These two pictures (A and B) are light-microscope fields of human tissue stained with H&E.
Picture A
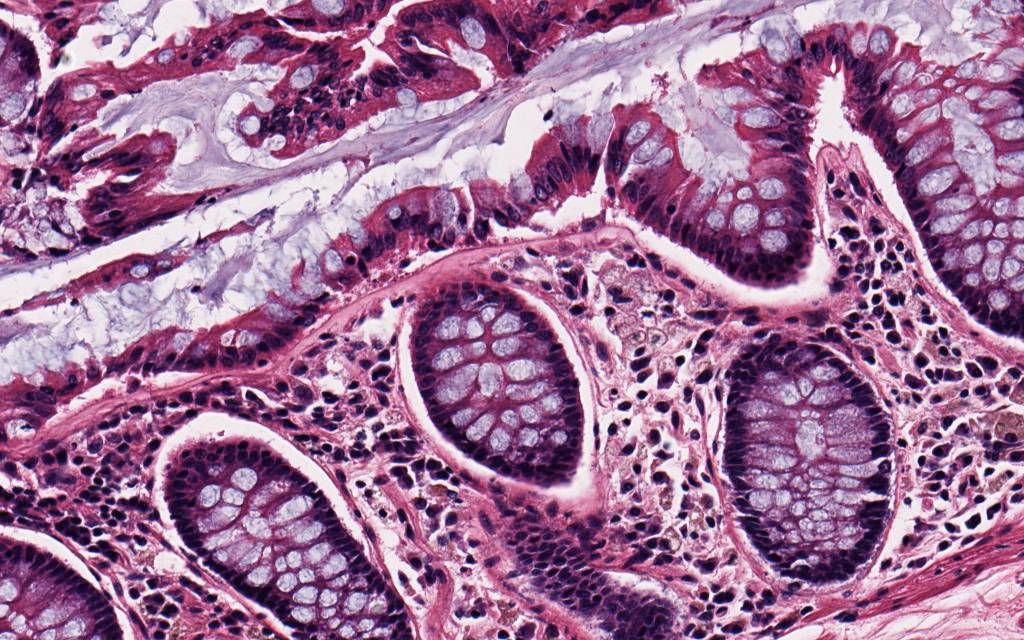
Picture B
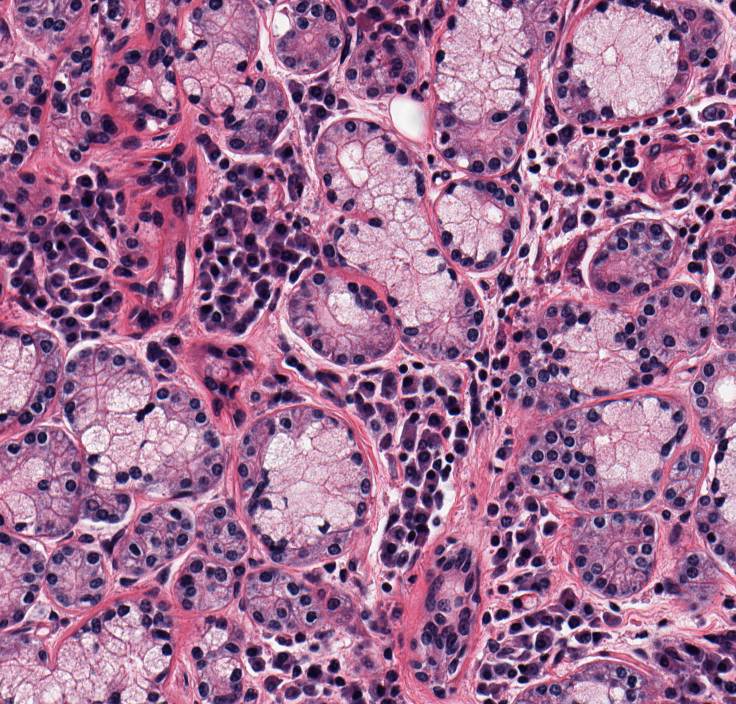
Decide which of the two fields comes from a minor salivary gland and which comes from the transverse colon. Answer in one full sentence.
Picture B comes from a minor salivary gland, while picture A comes from the transverse colon.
